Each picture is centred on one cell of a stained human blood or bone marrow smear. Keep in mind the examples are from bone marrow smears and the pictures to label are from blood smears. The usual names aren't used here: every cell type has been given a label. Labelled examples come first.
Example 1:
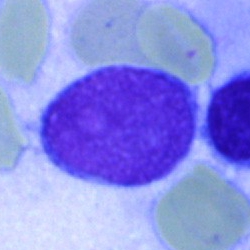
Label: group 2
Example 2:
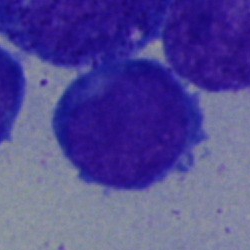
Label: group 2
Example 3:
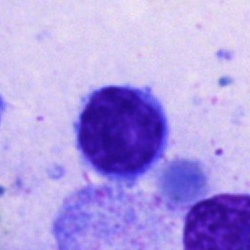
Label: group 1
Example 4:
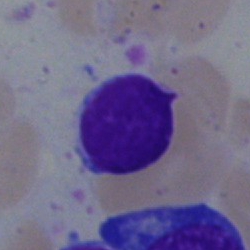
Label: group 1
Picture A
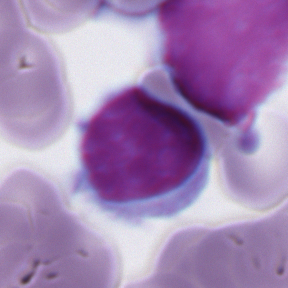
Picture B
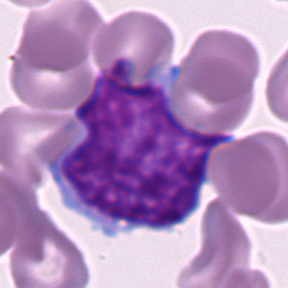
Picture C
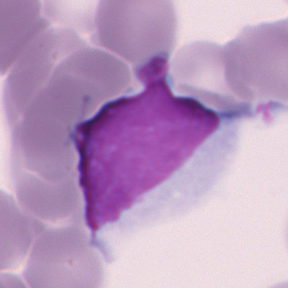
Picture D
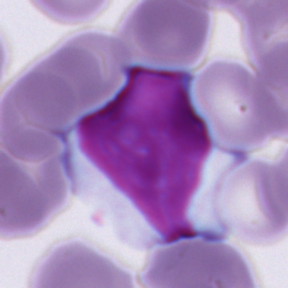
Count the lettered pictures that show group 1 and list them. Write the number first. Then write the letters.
Count: 3 (A, C, D)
